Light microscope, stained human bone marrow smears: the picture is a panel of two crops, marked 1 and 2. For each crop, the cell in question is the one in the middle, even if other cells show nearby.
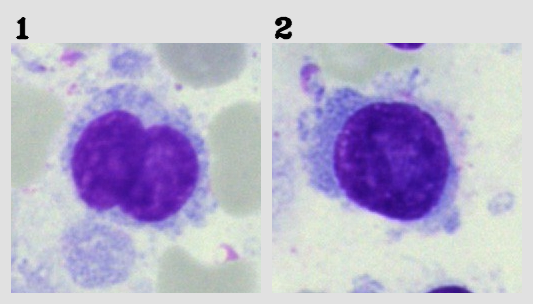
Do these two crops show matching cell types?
yes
